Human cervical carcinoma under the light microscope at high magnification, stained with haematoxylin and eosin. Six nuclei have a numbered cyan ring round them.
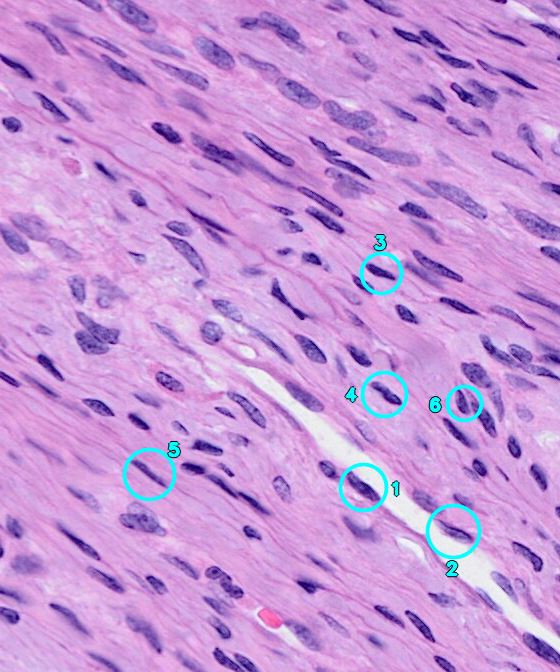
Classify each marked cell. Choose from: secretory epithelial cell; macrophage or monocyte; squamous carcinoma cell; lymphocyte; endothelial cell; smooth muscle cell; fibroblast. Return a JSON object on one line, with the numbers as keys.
{"1": "endothelial cell", "2": "endothelial cell", "3": "fibroblast", "4": "fibroblast", "5": "fibroblast", "6": "fibroblast"}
